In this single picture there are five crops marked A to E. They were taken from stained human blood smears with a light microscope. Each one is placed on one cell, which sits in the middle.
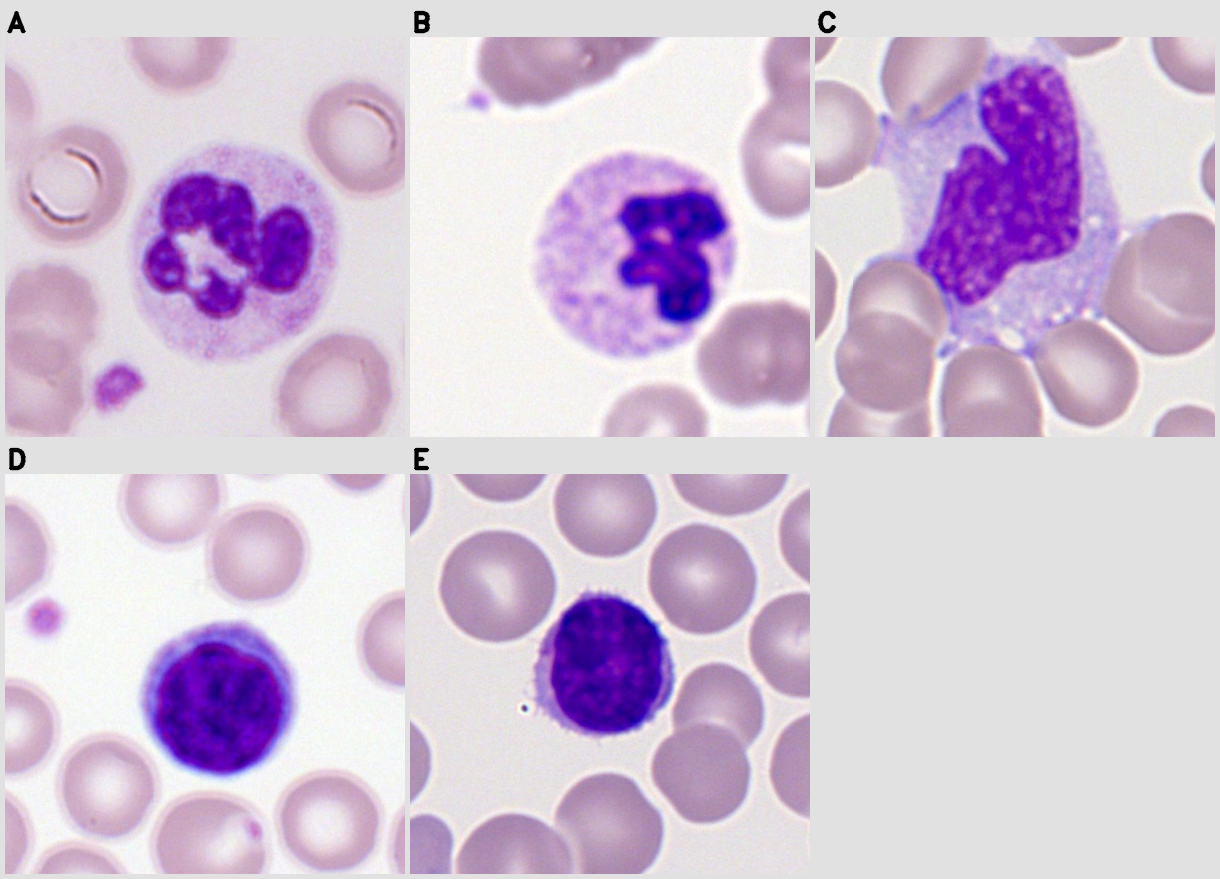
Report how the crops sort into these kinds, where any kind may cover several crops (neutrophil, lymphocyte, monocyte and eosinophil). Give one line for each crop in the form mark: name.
A: neutrophil
B: neutrophil
C: monocyte
D: lymphocyte
E: lymphocyte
